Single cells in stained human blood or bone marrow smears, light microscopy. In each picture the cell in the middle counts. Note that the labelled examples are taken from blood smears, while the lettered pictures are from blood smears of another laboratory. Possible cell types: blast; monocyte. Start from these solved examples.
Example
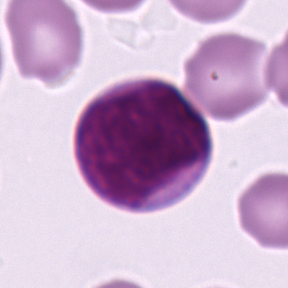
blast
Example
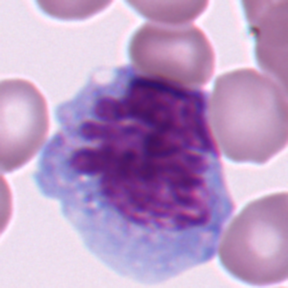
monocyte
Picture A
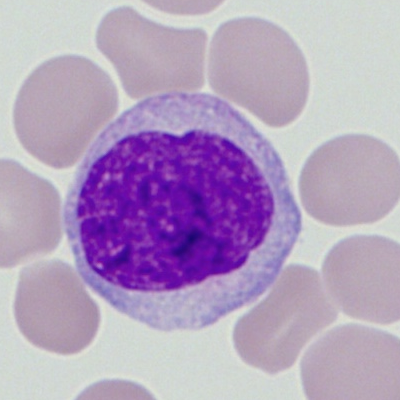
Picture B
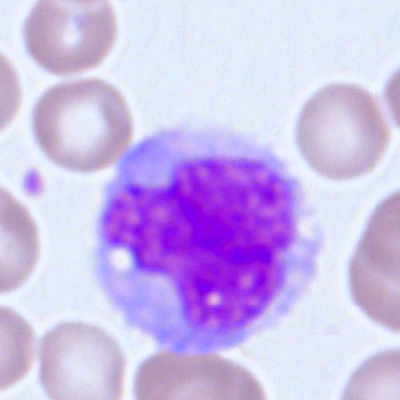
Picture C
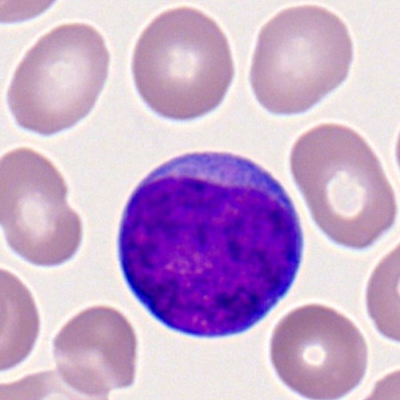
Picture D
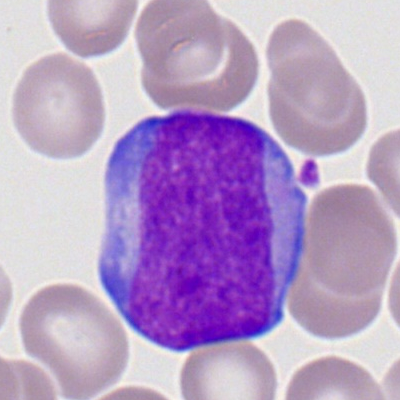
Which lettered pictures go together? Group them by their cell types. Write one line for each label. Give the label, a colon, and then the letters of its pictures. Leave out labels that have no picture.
blast: C, D
monocyte: A, B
